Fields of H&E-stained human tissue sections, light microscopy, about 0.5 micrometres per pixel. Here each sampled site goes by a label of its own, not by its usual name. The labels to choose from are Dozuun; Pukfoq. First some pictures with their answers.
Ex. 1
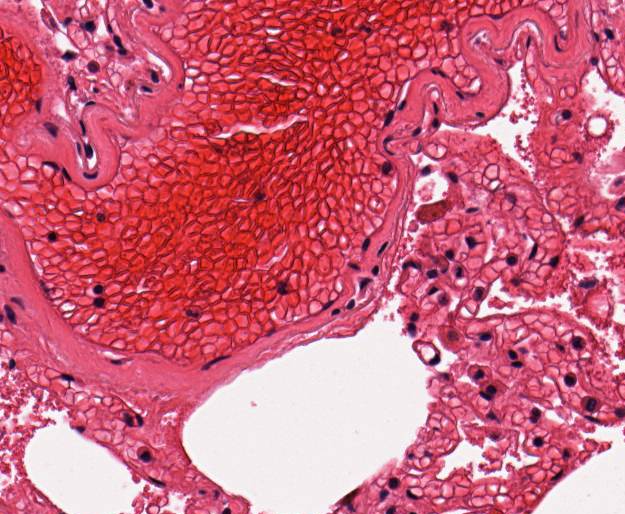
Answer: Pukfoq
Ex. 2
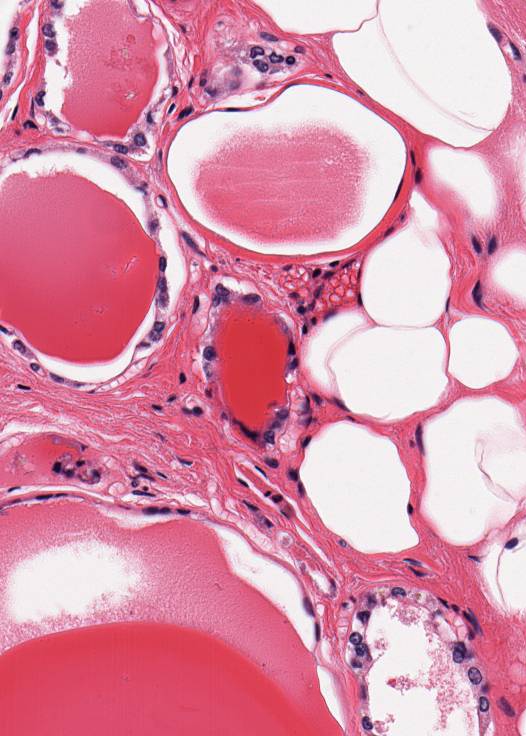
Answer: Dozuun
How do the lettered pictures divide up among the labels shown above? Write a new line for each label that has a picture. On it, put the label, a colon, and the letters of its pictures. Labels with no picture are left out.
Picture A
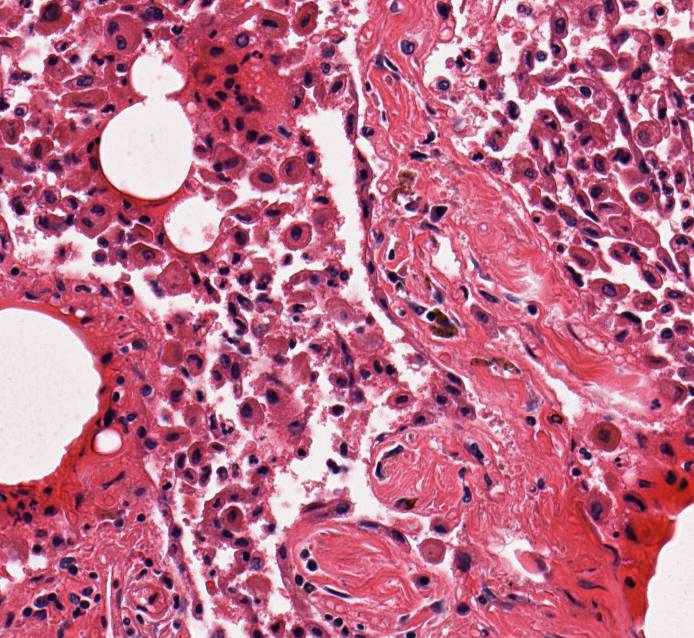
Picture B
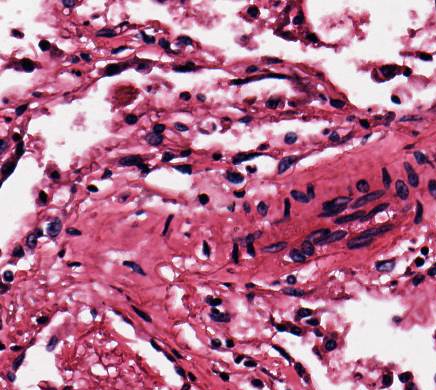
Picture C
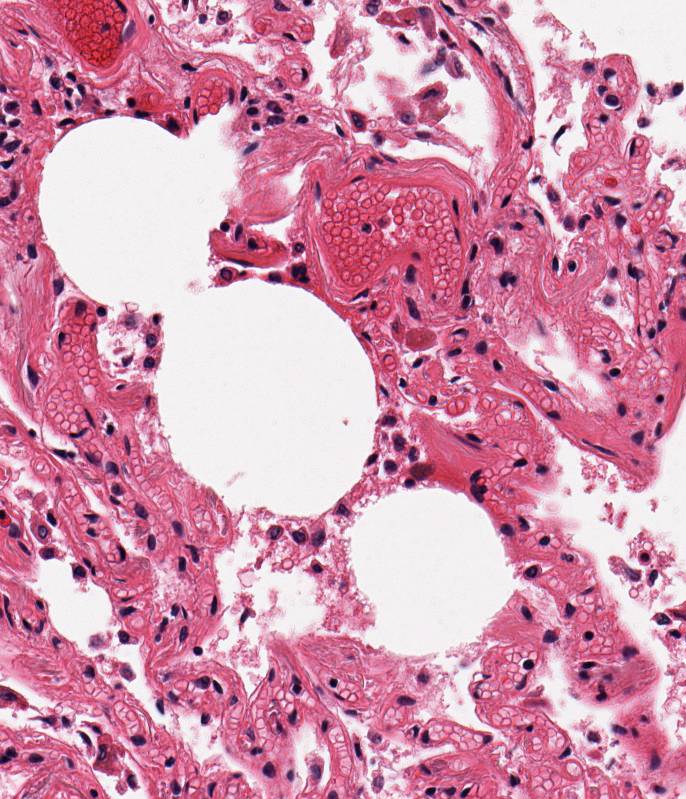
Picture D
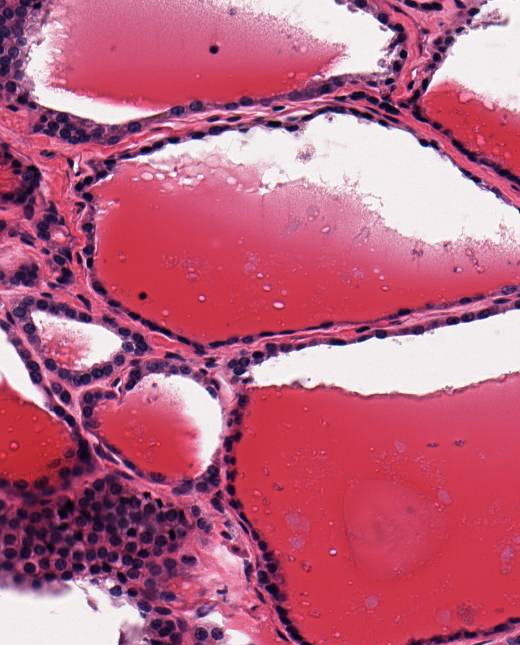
Dozuun: D
Pukfoq: A, B, C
